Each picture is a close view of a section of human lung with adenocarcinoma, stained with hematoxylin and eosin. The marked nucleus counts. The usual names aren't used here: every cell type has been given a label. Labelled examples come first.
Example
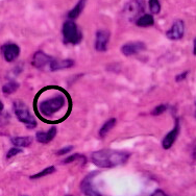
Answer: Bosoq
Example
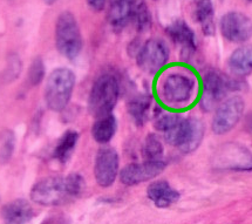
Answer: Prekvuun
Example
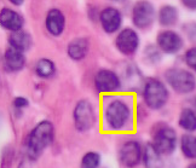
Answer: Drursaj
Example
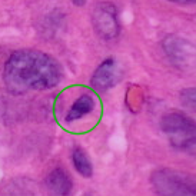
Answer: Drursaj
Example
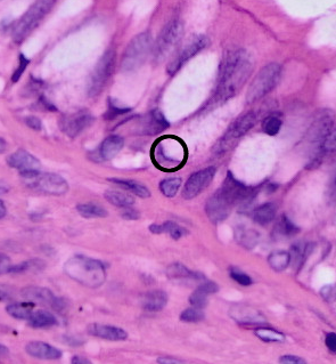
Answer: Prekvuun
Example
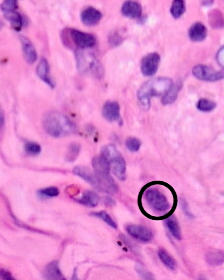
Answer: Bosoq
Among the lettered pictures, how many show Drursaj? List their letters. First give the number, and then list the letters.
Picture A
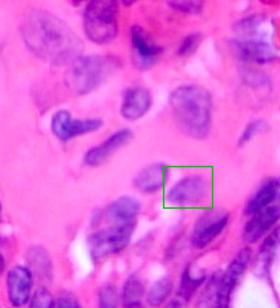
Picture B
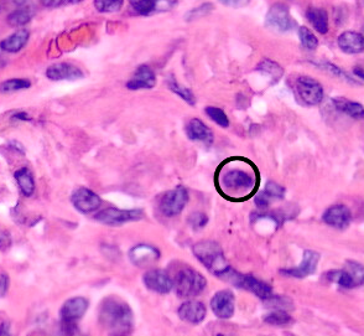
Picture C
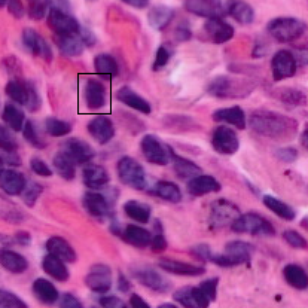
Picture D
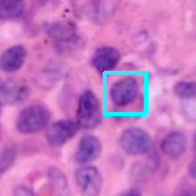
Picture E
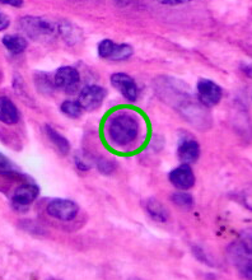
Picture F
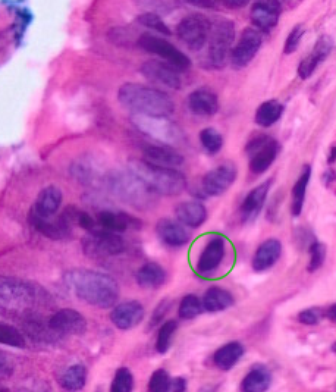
1: C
